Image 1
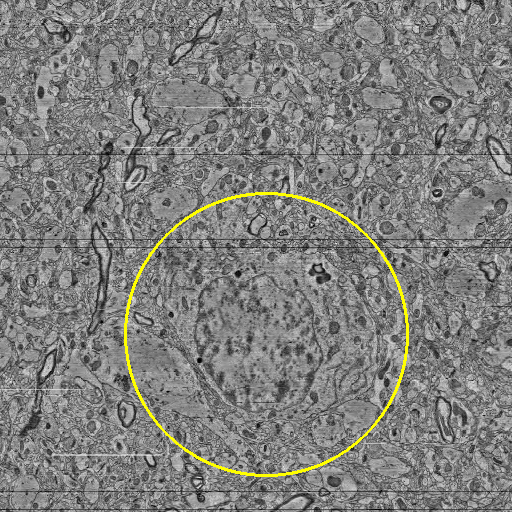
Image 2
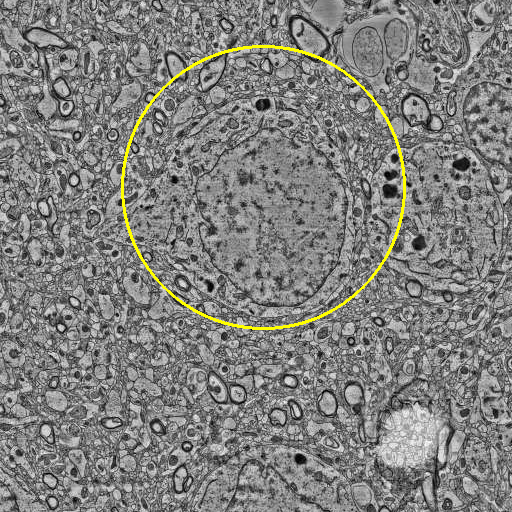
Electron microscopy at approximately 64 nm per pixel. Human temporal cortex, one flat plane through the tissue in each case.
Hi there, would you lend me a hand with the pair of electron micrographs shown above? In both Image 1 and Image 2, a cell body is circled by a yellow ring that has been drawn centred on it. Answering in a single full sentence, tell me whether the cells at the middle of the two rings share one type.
No, the ringed cells in Image 1 and Image 2 belong to two types.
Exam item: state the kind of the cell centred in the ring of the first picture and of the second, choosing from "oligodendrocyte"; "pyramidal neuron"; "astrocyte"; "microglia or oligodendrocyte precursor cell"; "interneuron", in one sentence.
The first picture shows an interneuron at the ring centre and the second shows a pyramidal neuron.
